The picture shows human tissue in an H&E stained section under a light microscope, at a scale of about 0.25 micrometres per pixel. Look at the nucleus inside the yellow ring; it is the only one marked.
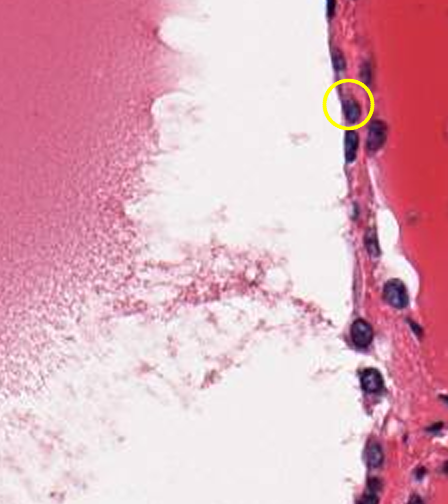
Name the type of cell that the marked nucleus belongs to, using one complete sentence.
The mark in this picture falls on the nucleus of a thyroid follicular cell.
